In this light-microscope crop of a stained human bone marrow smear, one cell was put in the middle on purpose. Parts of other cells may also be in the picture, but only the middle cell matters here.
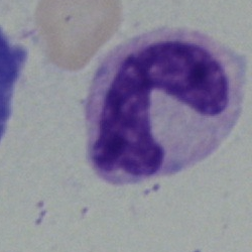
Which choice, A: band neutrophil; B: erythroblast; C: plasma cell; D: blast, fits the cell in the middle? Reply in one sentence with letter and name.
Option A holds up: the cell in the middle is a band neutrophil.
